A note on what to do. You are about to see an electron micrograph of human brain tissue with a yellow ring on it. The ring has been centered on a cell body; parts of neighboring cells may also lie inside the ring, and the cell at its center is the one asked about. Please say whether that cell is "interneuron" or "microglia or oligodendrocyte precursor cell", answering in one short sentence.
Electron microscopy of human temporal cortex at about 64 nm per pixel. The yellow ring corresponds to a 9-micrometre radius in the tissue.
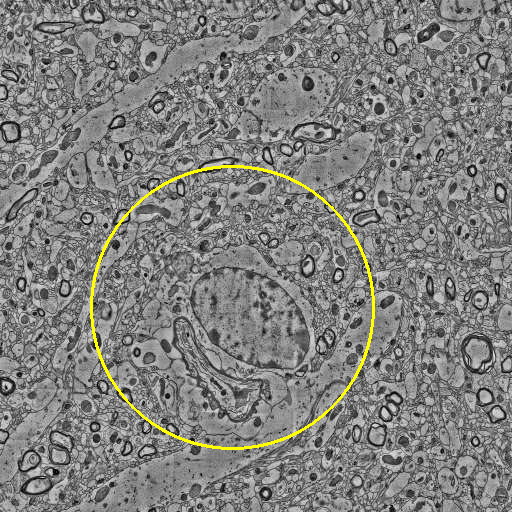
The yellow ring sits on a microglial cell or oligodendrocyte precursor cell.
